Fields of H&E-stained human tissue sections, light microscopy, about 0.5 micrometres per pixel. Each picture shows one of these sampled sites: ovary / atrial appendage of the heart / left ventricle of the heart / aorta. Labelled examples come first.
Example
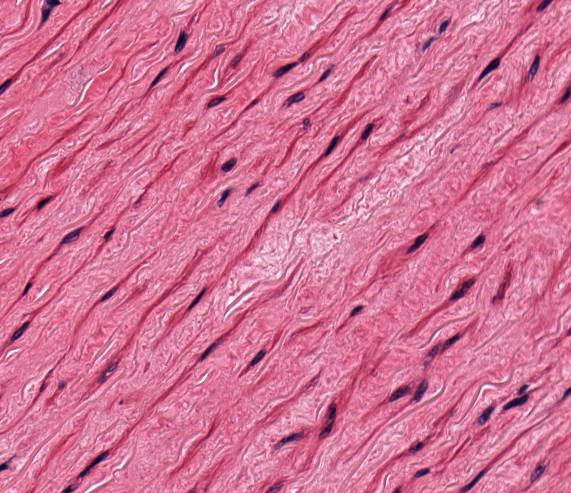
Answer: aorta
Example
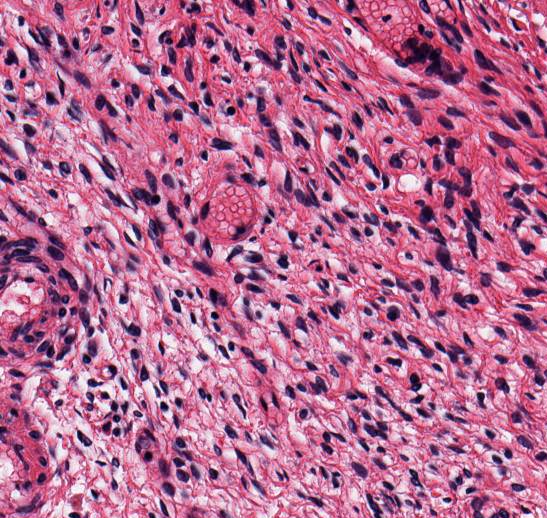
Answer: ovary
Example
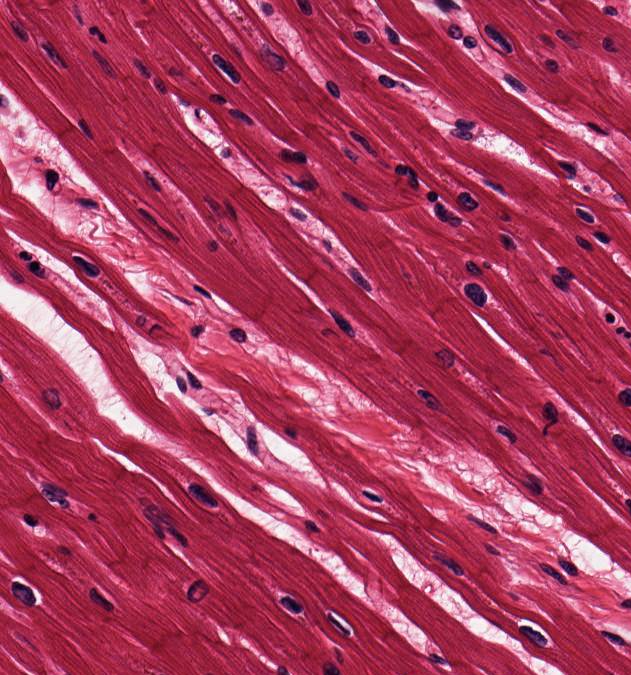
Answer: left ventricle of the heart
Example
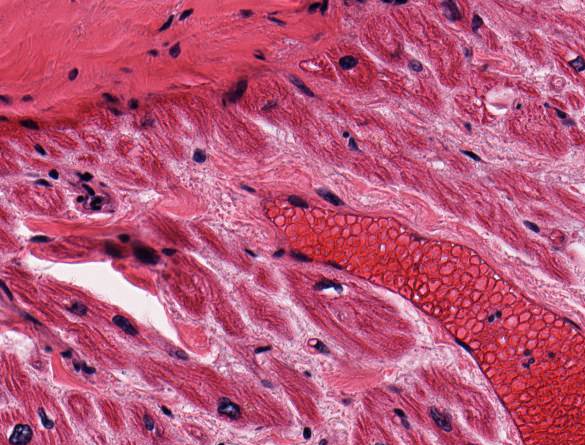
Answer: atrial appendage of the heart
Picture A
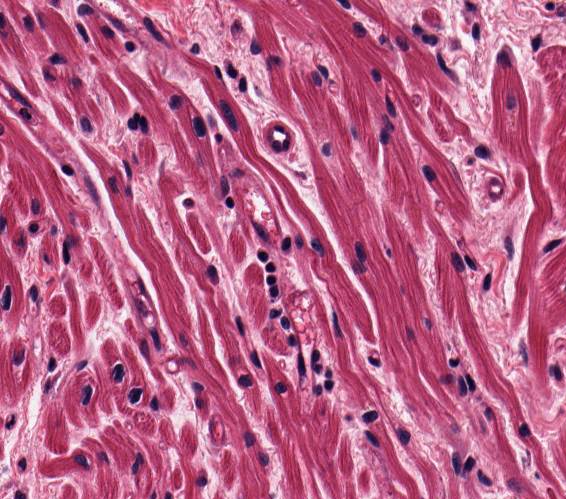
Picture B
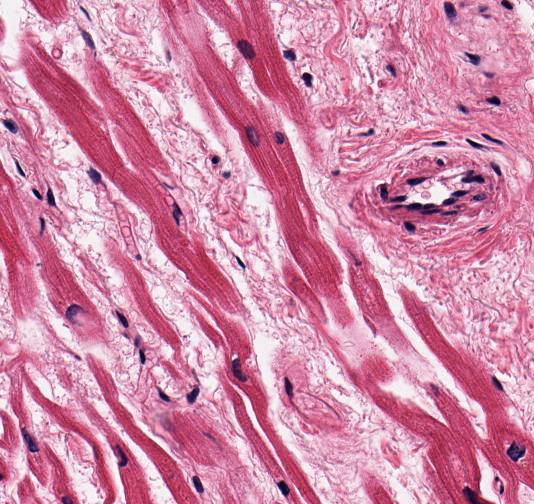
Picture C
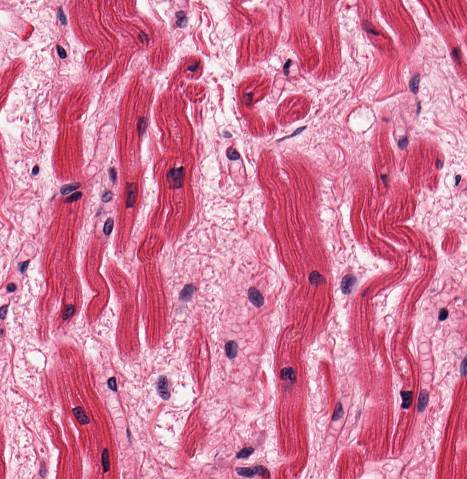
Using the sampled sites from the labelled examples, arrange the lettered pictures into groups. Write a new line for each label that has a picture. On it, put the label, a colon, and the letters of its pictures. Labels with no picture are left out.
atrial appendage of the heart: A, B, C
